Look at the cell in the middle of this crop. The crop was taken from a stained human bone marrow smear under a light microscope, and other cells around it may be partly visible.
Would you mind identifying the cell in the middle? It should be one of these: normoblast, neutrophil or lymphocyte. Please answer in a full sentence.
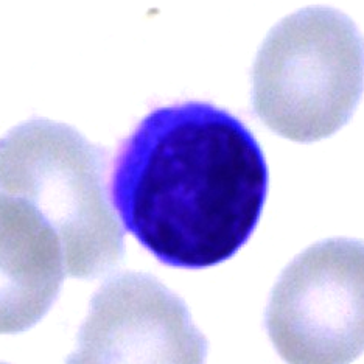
Regarding the central cell, it is a lymphocyte.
